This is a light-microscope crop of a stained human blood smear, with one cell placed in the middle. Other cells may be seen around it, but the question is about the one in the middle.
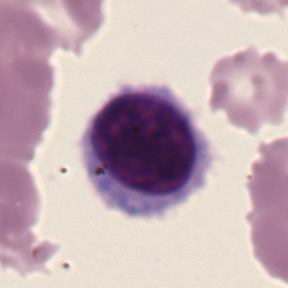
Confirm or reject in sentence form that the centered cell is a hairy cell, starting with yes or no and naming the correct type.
Yes, the cell in the middle of the crop is a hairy cell.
